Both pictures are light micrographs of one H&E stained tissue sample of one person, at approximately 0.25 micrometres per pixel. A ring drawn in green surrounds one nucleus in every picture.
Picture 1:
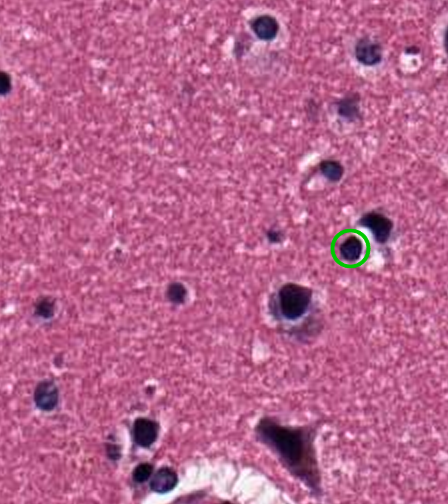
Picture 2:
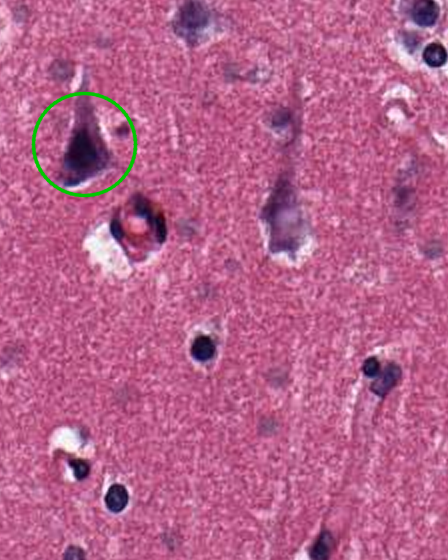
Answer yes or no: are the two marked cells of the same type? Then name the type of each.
No, the first is an oligodendrocyte and the second a neuron.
